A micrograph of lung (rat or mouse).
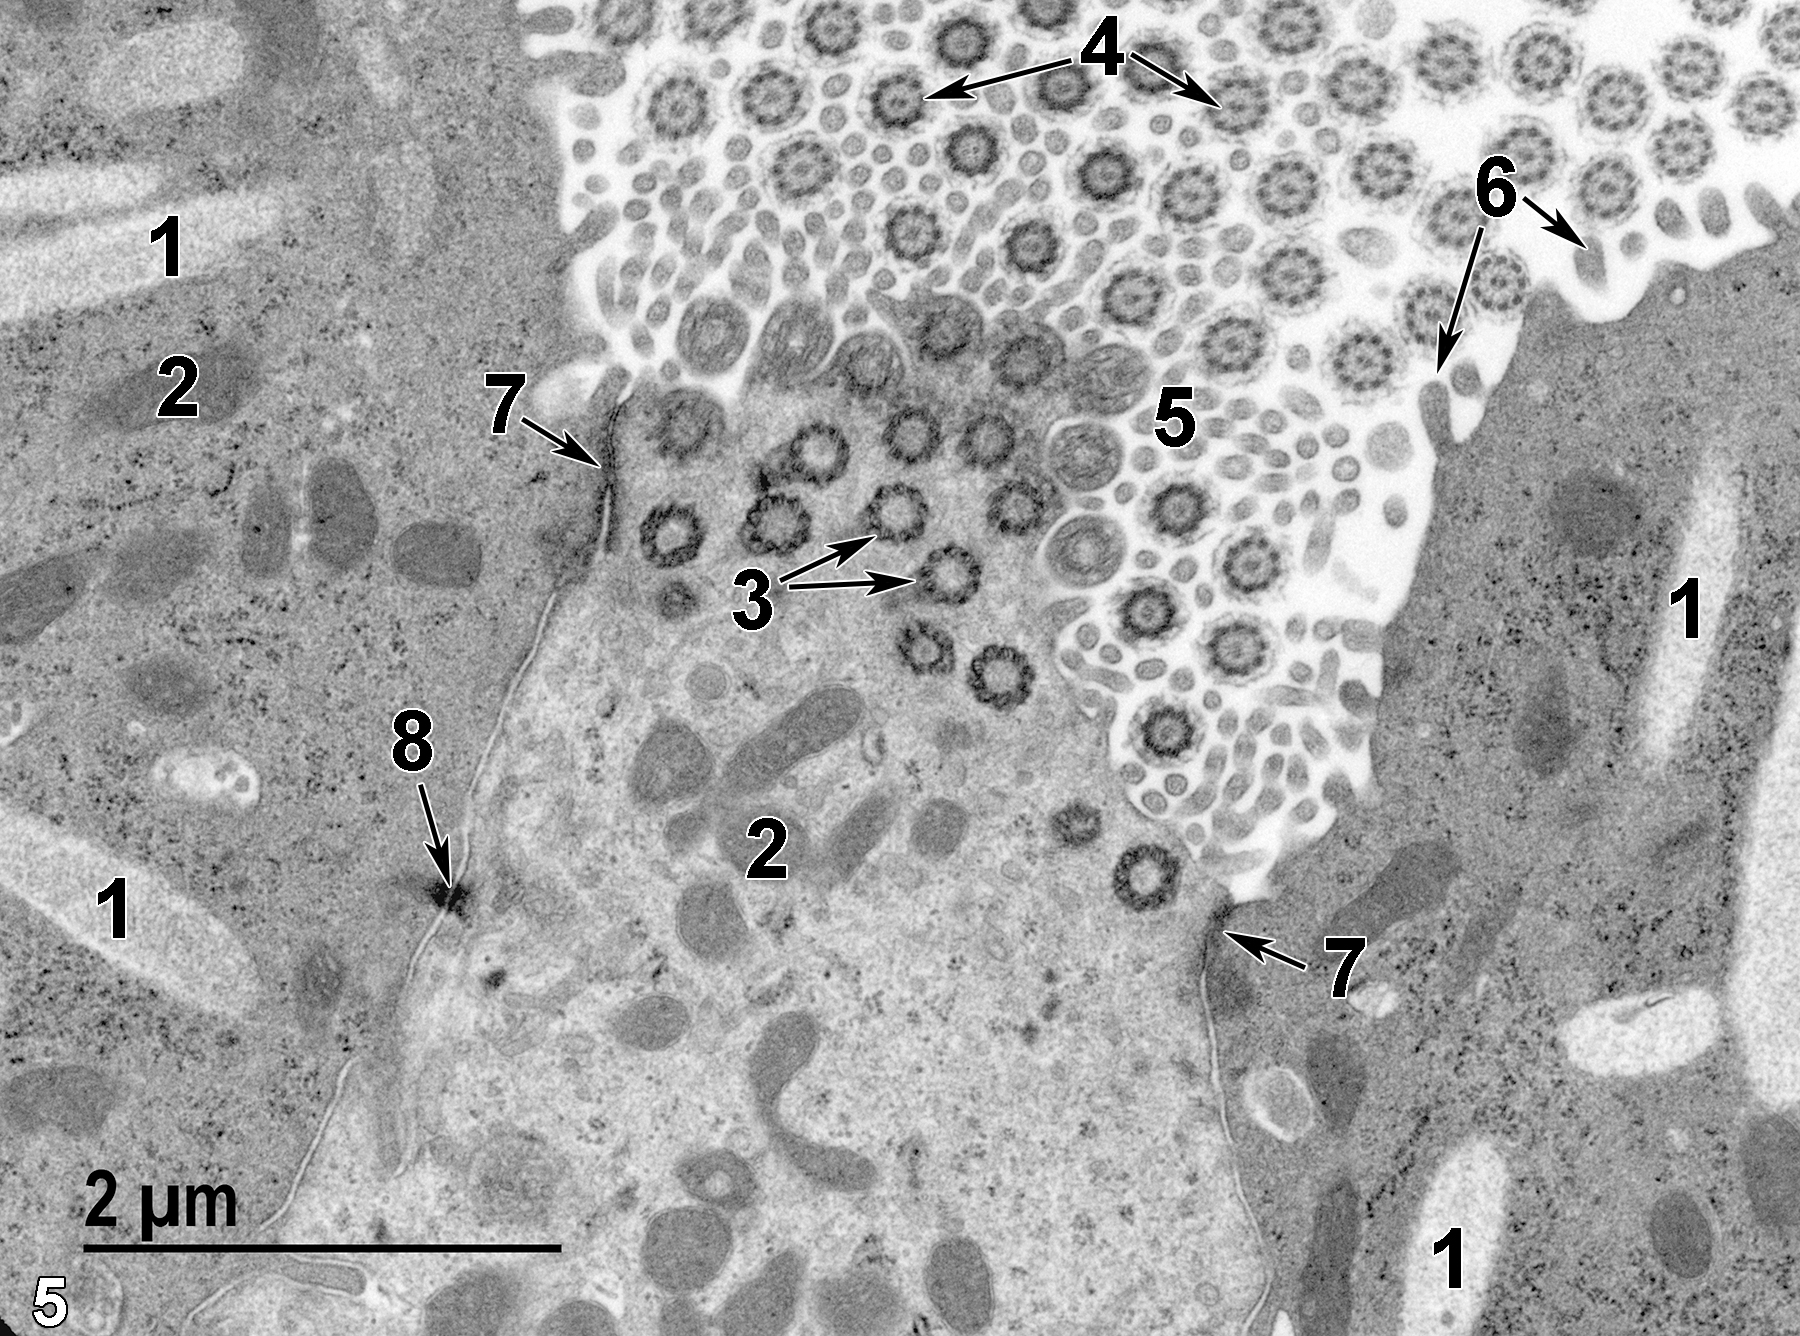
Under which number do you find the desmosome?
8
